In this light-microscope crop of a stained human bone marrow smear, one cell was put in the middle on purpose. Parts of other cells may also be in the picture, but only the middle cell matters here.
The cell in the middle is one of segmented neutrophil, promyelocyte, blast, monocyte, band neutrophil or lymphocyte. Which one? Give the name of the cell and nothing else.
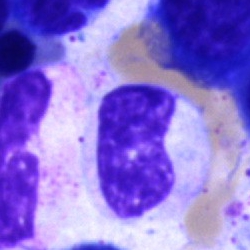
band neutrophil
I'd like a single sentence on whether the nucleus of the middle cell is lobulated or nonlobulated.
Its nucleus is compact and single, with a round, oval or kidney-shaped form.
